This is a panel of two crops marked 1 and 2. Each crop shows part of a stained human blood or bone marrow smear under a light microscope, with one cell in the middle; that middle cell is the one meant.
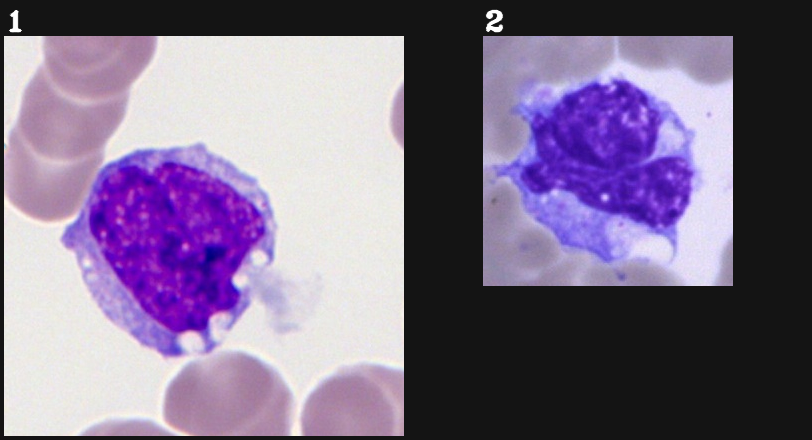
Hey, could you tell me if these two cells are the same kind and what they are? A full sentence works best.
Yes, that holds, both crops show monocytes.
